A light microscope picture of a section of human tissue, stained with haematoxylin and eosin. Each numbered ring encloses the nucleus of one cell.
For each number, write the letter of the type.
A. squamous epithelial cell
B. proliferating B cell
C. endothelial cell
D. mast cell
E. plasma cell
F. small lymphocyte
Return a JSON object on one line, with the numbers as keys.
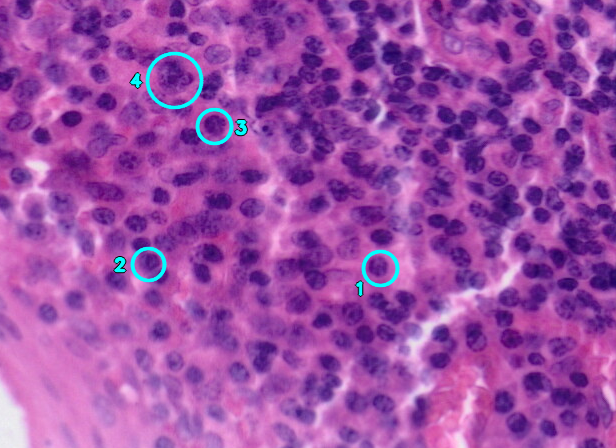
{"1": "E", "2": "E", "3": "E", "4": "A"}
